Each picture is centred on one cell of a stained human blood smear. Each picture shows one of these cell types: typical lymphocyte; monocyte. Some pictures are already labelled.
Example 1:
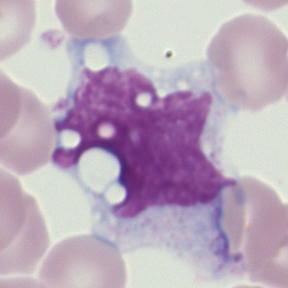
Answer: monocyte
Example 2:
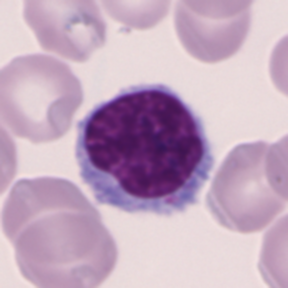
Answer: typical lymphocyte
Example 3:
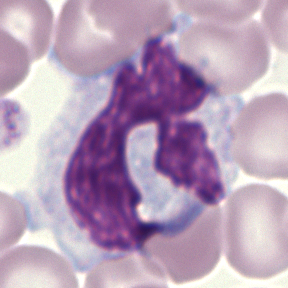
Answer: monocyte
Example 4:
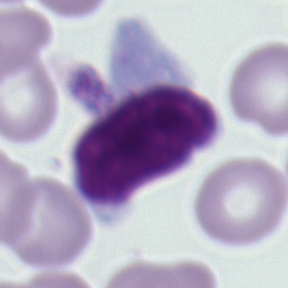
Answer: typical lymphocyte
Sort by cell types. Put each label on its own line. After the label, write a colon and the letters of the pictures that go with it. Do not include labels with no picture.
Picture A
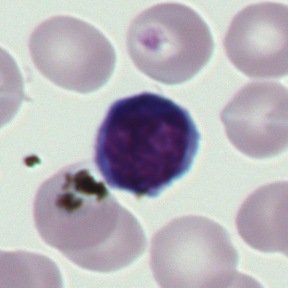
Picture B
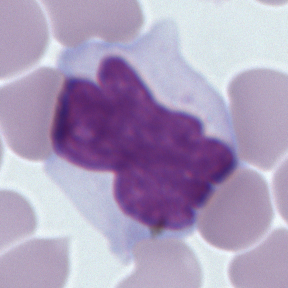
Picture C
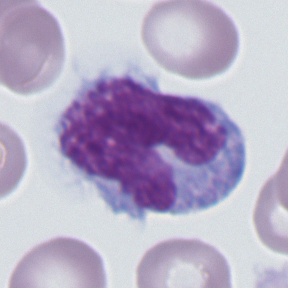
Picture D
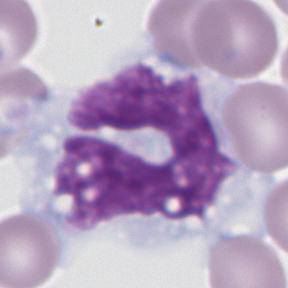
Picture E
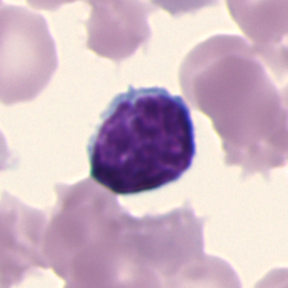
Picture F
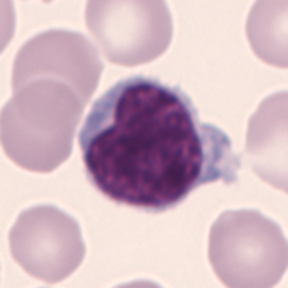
typical lymphocyte: A, E, F
monocyte: B, C, D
